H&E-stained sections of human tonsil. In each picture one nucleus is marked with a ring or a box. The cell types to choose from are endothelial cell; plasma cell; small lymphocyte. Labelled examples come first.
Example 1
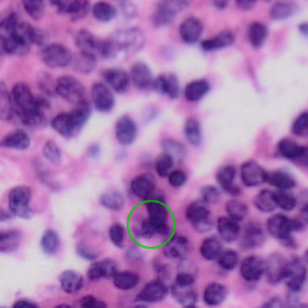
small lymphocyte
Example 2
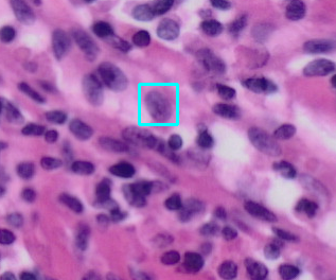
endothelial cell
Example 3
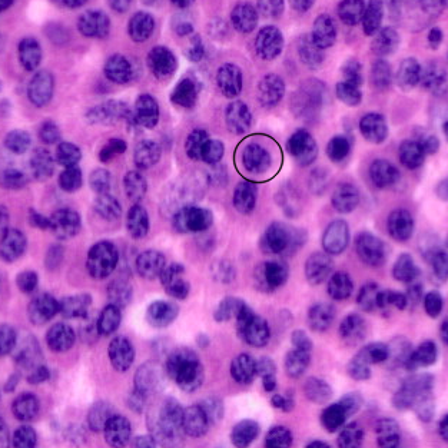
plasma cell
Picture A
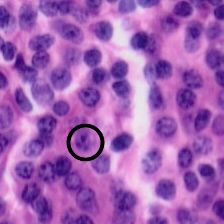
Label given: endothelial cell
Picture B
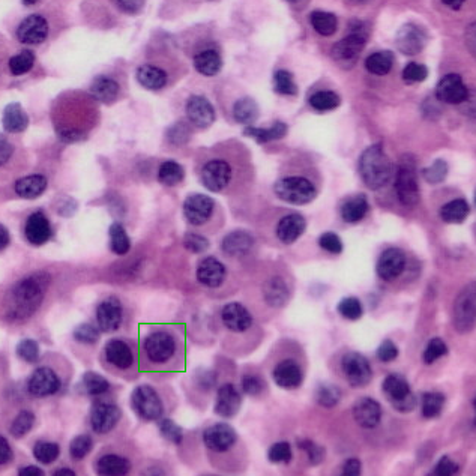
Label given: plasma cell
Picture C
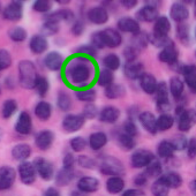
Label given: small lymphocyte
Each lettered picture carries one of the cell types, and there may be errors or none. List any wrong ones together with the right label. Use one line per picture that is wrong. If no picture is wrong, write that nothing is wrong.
A: plasma cell, not endothelial cell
